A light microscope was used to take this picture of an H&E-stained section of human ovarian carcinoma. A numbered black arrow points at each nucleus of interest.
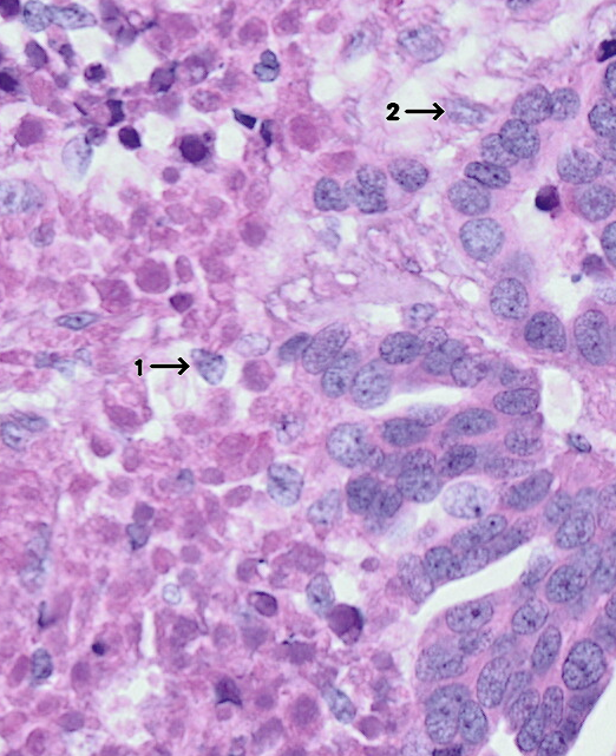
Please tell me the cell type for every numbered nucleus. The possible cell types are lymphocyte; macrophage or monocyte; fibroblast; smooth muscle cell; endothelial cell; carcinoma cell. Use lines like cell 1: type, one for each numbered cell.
cell 1: macrophage or monocyte
cell 2: fibroblast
